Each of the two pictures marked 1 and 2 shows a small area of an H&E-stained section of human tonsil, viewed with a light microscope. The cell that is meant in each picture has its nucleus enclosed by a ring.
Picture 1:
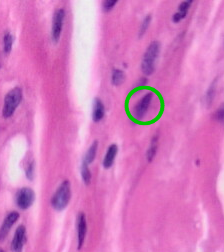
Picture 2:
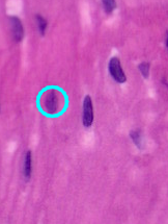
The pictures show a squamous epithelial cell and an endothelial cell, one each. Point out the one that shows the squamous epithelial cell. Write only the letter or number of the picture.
2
